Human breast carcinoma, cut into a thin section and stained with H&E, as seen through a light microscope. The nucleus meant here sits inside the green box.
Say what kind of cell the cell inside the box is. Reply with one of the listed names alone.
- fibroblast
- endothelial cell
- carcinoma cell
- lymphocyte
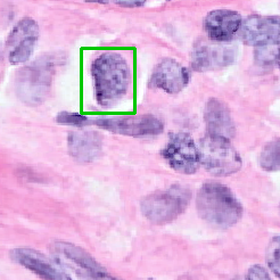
carcinoma cell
